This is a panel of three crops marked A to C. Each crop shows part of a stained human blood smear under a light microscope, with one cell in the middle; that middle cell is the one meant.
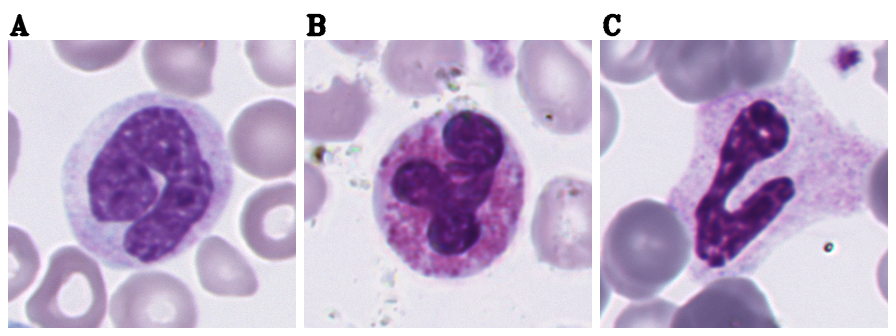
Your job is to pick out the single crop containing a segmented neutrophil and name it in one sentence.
The cell identified as a segmented neutrophil is the one in crop C.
